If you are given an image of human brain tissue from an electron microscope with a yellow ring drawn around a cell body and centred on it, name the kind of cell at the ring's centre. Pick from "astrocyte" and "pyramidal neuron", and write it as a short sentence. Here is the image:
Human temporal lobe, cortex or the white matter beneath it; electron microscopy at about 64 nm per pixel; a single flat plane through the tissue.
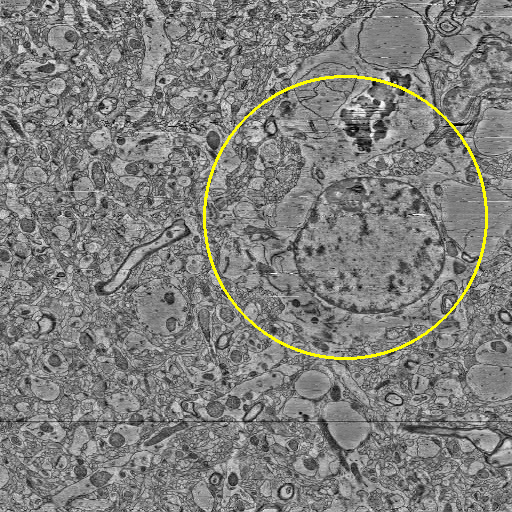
The cell at the ring's centre is an astrocyte.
